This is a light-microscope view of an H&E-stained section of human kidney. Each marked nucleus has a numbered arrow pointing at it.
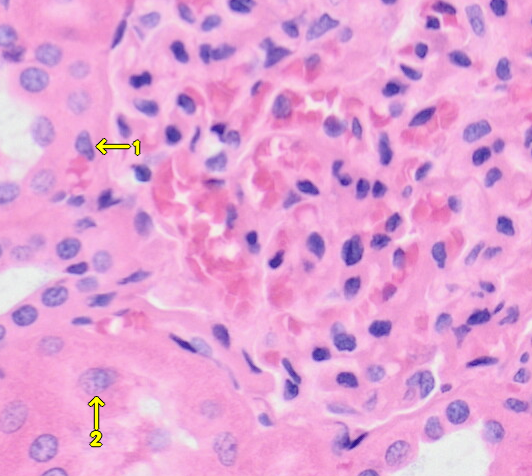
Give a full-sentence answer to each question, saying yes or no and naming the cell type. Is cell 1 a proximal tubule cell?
No; cell 1 is an endothelial cell, not a proximal tubule cell.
